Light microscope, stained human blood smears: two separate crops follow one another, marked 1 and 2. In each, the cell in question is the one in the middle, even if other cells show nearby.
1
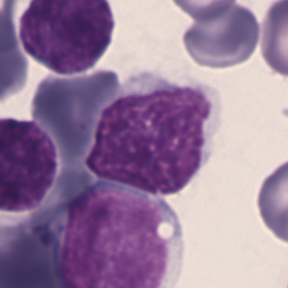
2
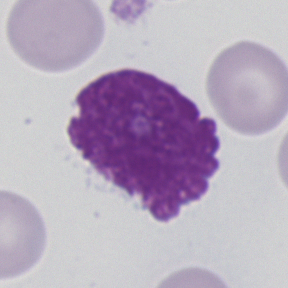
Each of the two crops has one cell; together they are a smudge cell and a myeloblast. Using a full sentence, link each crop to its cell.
Displayed in crop 1 is a myeloblast, while crop 2 displays a smudge cell.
